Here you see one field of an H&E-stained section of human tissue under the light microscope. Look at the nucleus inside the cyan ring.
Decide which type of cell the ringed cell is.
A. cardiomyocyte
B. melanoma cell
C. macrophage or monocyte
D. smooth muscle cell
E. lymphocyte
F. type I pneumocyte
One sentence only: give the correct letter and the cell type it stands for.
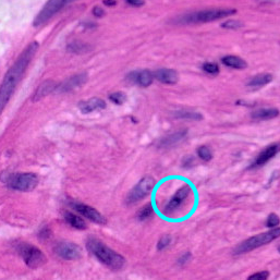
Option D correctly labels the ringed cell as a smooth muscle cell.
